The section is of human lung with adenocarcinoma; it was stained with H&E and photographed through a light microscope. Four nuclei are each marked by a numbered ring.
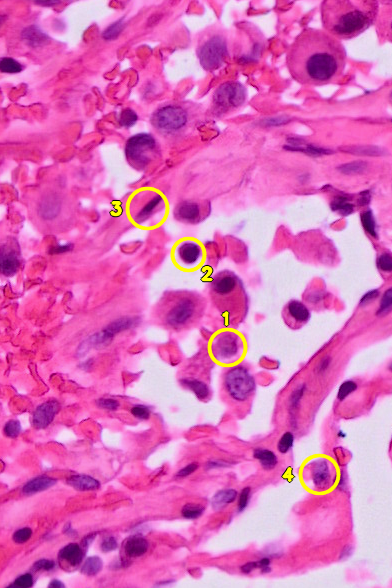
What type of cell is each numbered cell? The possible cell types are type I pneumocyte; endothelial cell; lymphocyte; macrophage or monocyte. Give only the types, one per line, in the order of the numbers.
macrophage or monocyte
lymphocyte
endothelial cell
type I pneumocyte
